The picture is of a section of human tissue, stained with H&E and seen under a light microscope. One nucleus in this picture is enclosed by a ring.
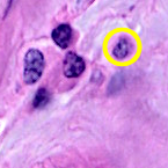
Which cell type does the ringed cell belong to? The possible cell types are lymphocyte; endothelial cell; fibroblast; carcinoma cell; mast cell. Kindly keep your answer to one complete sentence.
Cell type answer for this item: the ringed cell is a mast cell.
